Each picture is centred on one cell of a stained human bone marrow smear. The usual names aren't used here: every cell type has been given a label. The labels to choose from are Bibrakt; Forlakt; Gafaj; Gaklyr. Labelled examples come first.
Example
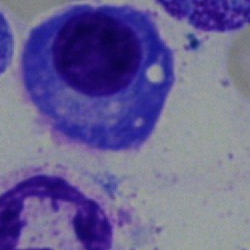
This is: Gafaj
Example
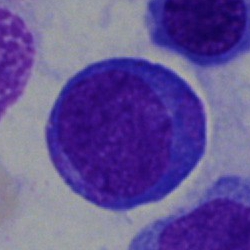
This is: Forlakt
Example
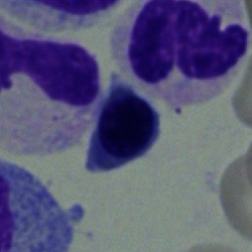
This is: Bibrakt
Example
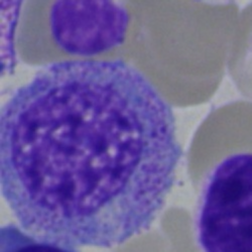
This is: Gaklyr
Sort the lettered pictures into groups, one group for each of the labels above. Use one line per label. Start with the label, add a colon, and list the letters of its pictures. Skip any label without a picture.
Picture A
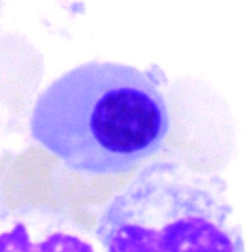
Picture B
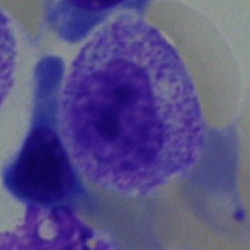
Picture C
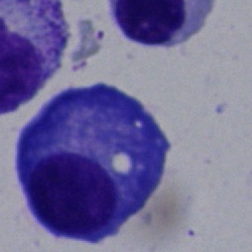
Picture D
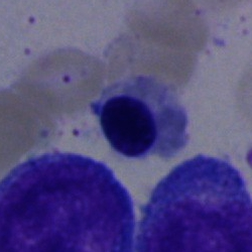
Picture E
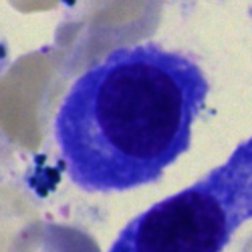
Bibrakt: A, D
Gafaj: C, E
Gaklyr: B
